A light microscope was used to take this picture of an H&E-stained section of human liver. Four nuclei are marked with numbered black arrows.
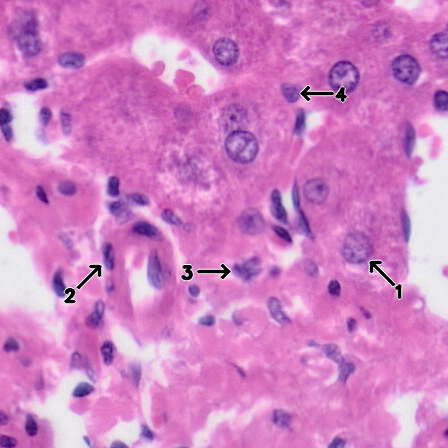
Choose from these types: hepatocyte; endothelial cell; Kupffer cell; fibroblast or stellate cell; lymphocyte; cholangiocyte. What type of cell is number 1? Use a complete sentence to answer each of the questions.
Numbered cell 1 is a hepatocyte in this tissue section.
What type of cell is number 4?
Cell 4, among those numbered, is a fibroblast or stellate cell.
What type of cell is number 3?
Cell 3 should be recorded as a fibroblast or stellate cell.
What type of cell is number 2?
The expected answer is that cell 2 is a fibroblast or stellate cell.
